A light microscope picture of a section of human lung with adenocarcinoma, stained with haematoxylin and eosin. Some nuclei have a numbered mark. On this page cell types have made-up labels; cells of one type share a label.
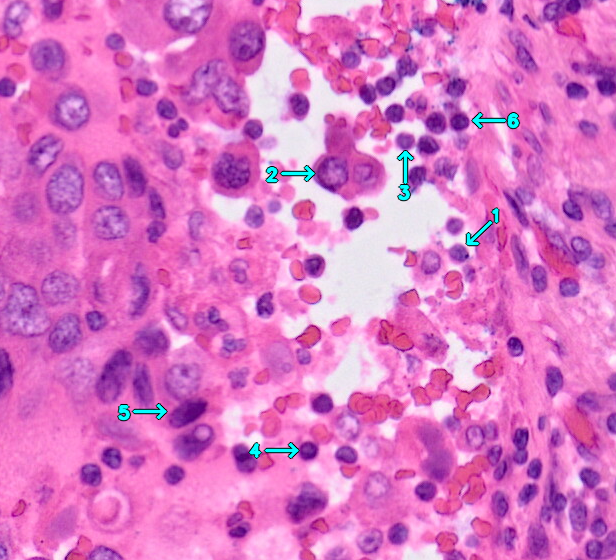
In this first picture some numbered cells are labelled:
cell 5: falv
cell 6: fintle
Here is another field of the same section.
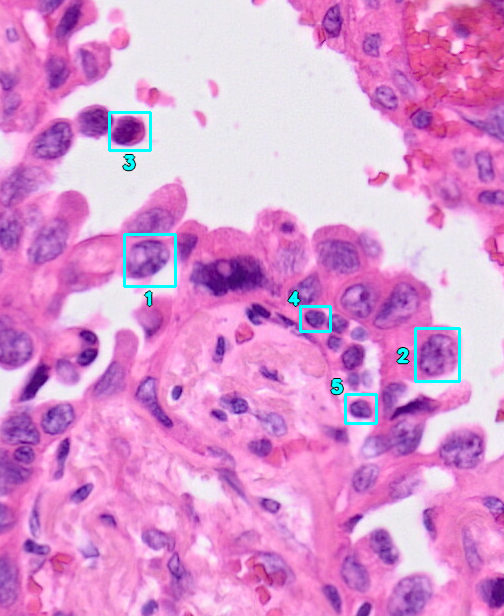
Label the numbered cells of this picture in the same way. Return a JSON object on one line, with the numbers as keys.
{"1": "falv", "2": "falv", "3": "falv", "4": "fintle", "5": "fintle"}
